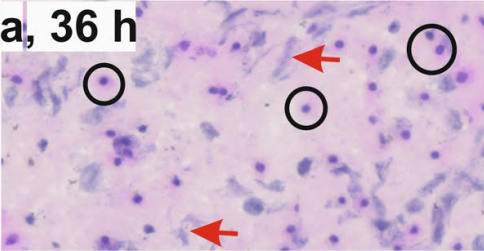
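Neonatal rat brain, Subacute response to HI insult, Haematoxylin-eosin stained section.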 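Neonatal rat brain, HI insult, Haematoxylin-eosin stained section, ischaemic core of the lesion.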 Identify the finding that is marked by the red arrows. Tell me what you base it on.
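The red arrows point to pale, faintly outlined fragments without a clear intact nucleus. The surrounding tissue is pale and loosely textured.
Hence: necrotic neuronal debris.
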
